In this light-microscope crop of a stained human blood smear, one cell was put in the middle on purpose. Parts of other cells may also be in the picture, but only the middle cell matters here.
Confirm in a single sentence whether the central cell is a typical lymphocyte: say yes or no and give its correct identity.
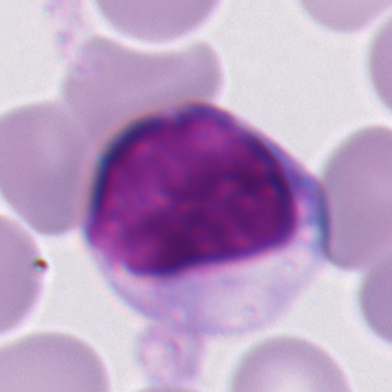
No, the cell at the centre of the crop is a large granular lymphocyte and not a typical lymphocyte.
